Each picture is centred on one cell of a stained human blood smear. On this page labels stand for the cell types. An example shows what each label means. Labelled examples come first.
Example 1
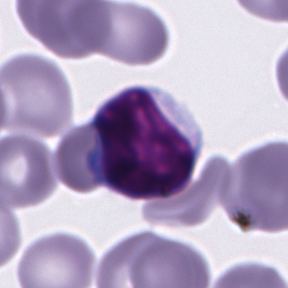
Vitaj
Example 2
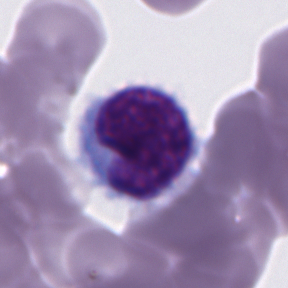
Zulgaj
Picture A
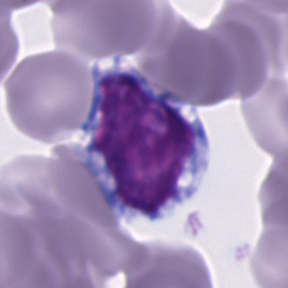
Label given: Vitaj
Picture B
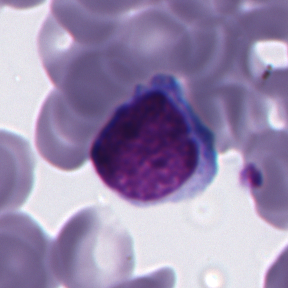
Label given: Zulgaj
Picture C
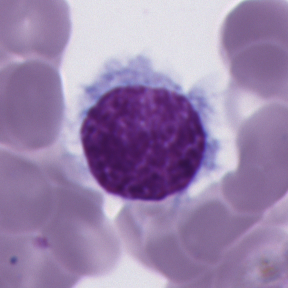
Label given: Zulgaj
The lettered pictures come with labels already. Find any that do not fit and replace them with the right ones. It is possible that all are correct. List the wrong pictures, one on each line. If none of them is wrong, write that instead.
B: change Zulgaj to Vitaj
